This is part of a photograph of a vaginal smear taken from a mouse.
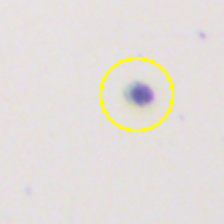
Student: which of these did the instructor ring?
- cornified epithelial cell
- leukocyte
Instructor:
The cell I ringed is a leukocyte.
